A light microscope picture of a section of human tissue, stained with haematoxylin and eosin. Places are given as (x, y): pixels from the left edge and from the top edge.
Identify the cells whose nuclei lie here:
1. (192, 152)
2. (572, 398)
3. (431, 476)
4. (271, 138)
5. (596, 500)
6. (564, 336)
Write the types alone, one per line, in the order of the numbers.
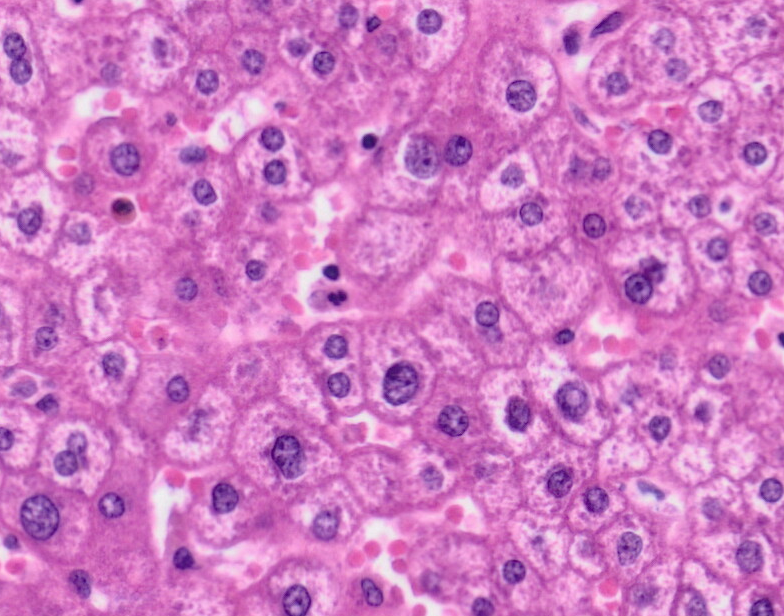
endothelial cell
hepatocyte
hepatocyte
hepatocyte
hepatocyte
fibroblast or stellate cell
